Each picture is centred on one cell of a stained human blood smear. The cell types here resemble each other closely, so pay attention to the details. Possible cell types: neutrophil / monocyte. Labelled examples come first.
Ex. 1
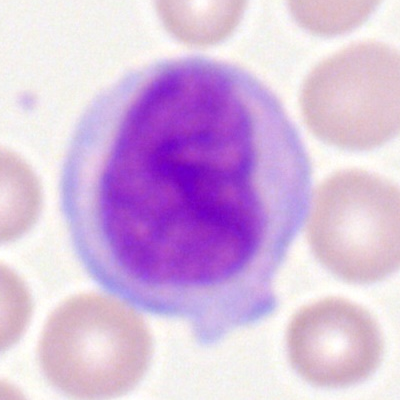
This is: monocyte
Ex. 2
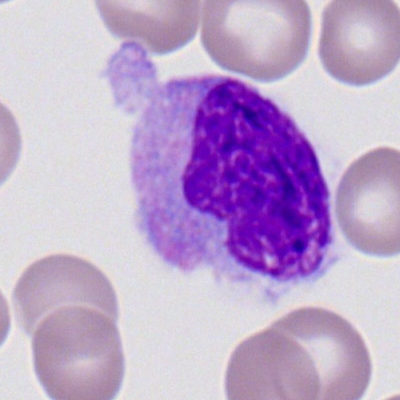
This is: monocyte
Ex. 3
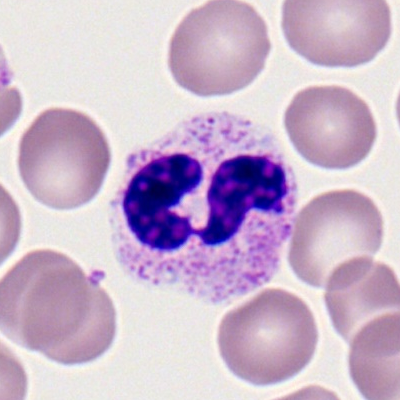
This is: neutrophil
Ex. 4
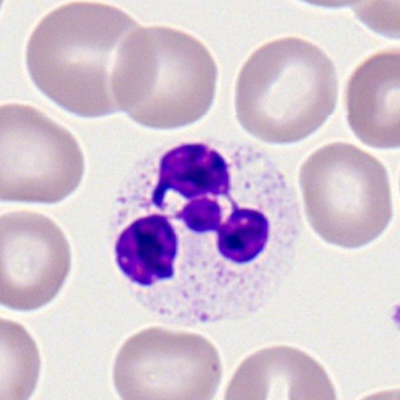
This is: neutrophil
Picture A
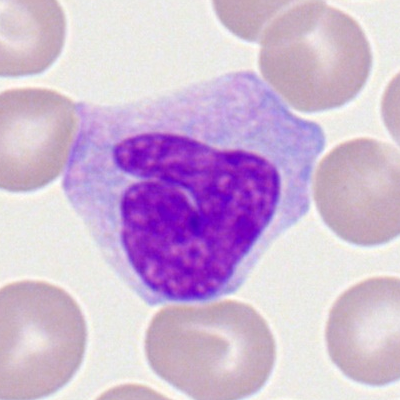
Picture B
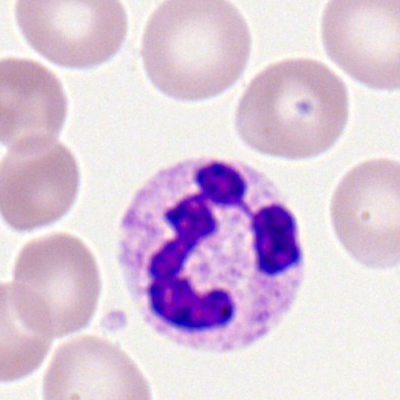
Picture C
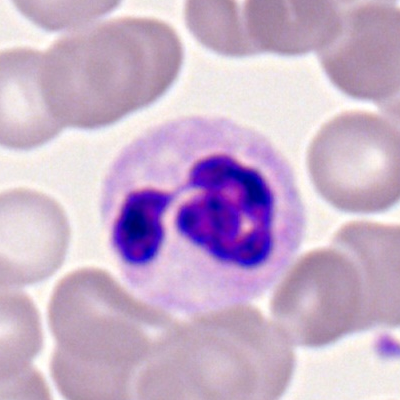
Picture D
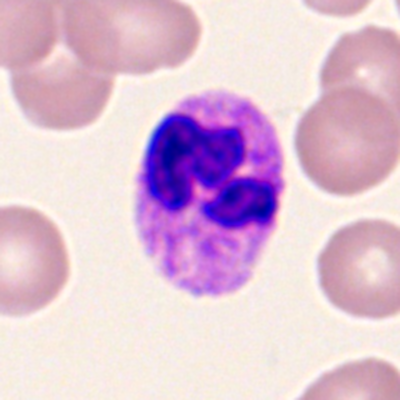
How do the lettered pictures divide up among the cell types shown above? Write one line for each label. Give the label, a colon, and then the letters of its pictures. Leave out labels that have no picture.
neutrophil: B, C, D
monocyte: A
